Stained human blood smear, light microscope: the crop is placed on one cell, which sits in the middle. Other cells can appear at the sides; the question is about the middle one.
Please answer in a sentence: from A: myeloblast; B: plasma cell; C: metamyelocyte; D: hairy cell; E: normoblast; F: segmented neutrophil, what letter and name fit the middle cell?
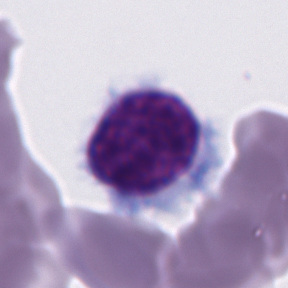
Seen at the centre of the crop is a hairy cell, so option D is correct.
